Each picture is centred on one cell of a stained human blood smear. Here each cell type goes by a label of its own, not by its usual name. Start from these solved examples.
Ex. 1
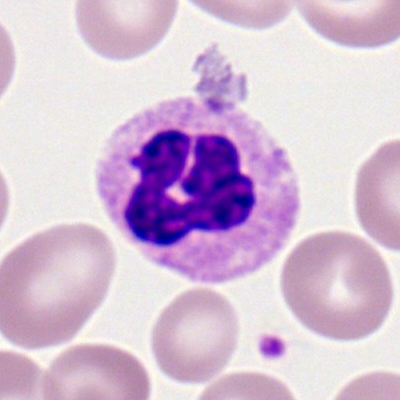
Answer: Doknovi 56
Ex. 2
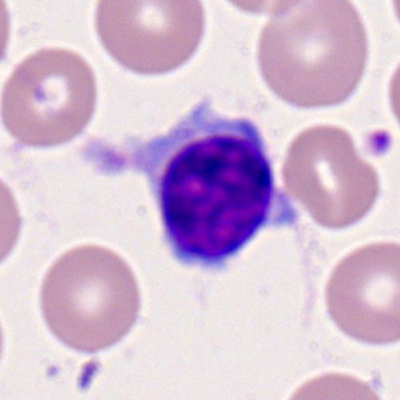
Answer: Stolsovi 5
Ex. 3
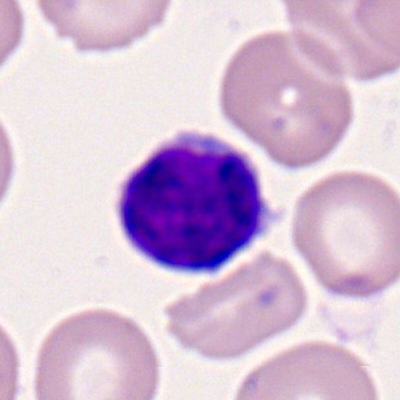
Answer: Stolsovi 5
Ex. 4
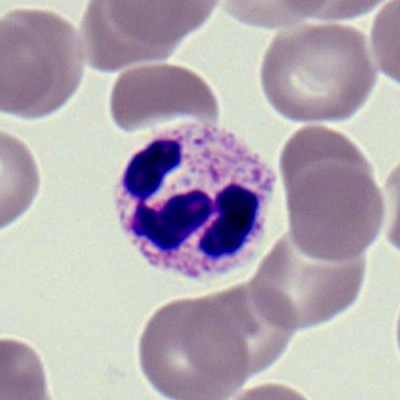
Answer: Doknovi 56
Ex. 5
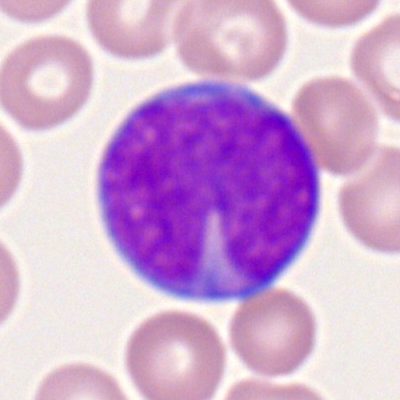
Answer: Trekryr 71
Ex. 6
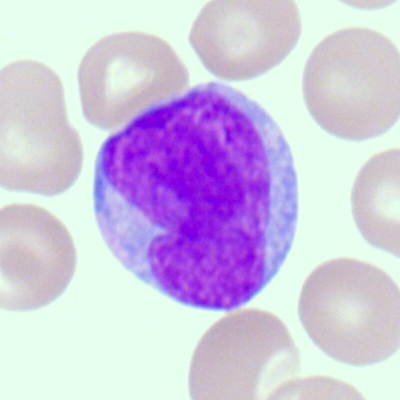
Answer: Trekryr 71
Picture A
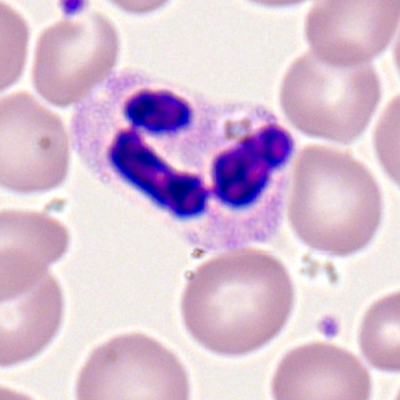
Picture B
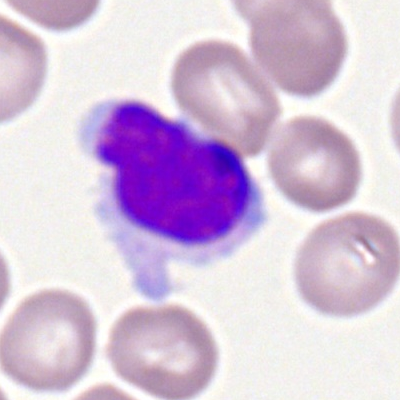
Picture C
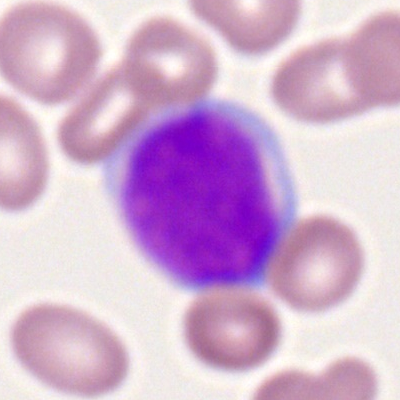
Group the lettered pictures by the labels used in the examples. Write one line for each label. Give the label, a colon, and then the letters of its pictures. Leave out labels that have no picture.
Doknovi 56: A
Stolsovi 5: B
Trekryr 71: C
